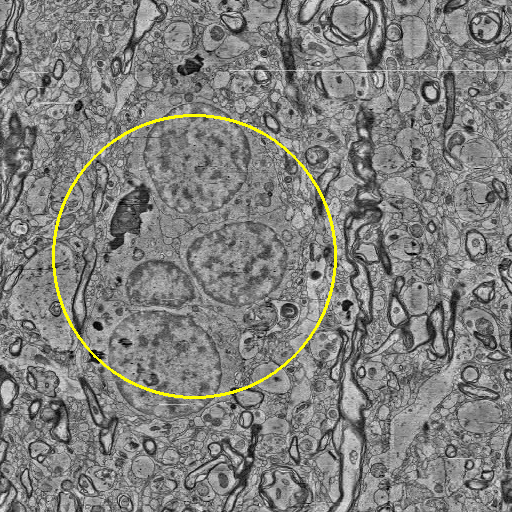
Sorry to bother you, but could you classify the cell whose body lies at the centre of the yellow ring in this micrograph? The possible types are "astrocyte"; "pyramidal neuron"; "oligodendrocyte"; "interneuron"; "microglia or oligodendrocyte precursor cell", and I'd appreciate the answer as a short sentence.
The ringed cell body is that of an oligodendrocyte.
